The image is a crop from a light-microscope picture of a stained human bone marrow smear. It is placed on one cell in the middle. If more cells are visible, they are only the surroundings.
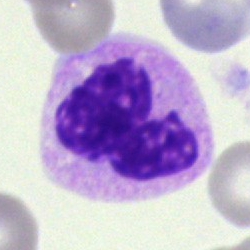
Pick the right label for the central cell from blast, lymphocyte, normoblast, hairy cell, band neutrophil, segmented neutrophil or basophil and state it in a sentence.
Standing at the centre of this crop is a segmented neutrophil.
